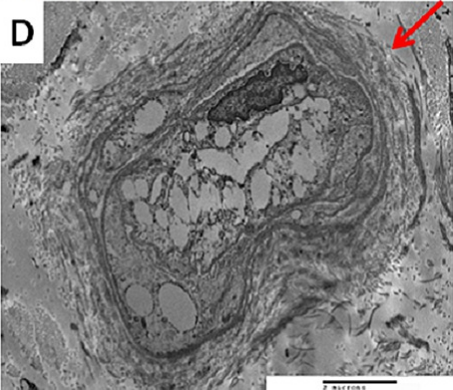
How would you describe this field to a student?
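A transmission electron micrograph of a nerve fiber surrounded by an onion bulb: many thin Schwann cell processes are arranged as concentric lamellae around a central profile. The central profile is oval and contains an elongated, electron-dense nucleus near its upper edge and numerous clear, rounded vacuole-like spaces in a grey granular cytoplasm. The concentric layers wrap fully around it, thicker on one side, forming a whorled sheath. The surrounding field is pale, finely granular and fibrillar.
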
